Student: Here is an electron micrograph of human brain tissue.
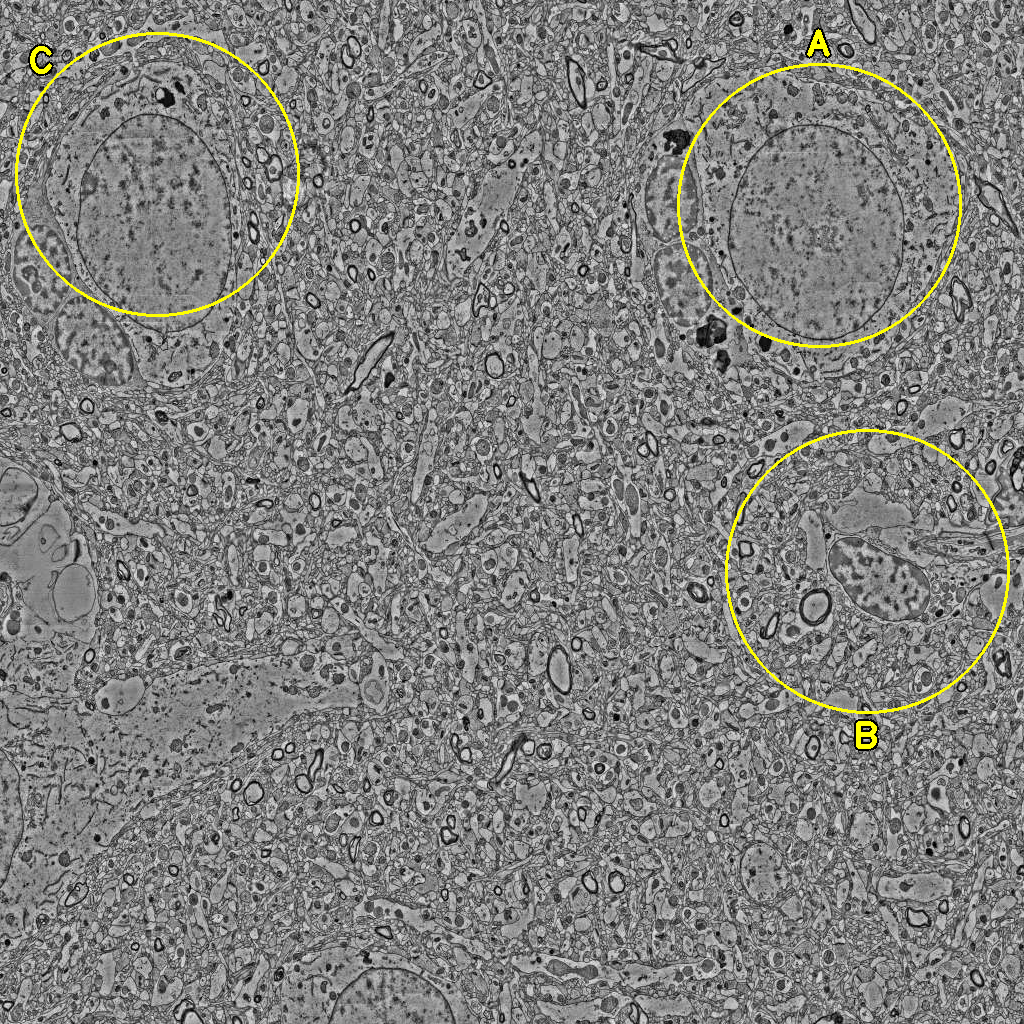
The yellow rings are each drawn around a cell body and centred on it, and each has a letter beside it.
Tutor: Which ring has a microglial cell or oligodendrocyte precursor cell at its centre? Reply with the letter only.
B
